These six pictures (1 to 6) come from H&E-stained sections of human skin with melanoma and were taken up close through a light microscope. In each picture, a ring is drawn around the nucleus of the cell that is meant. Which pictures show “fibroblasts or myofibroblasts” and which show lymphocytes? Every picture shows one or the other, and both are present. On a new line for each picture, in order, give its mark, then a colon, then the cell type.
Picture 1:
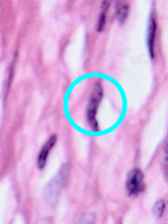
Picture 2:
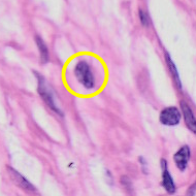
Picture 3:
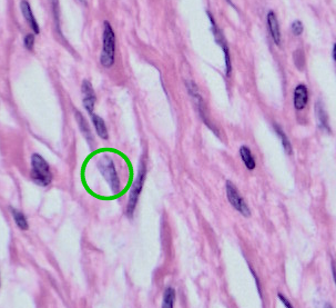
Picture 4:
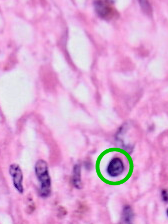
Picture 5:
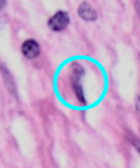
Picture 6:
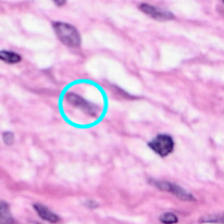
1: fibroblast or myofibroblast
2: lymphocyte
3: fibroblast or myofibroblast
4: lymphocyte
5: fibroblast or myofibroblast
6: fibroblast or myofibroblast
